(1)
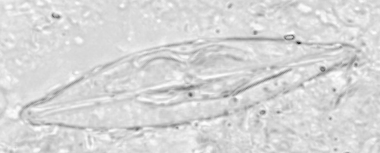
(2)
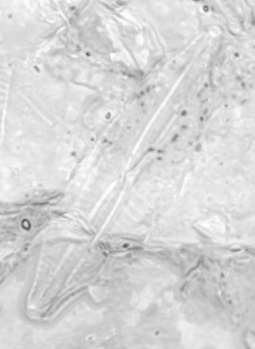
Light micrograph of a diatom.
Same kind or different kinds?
Same: Navicula.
